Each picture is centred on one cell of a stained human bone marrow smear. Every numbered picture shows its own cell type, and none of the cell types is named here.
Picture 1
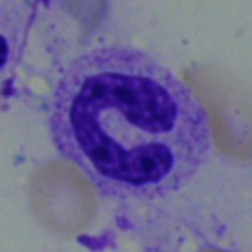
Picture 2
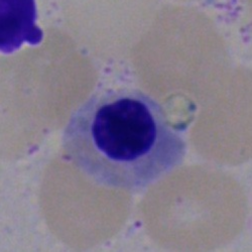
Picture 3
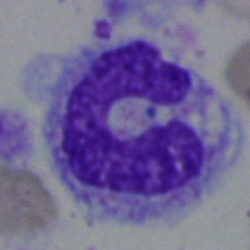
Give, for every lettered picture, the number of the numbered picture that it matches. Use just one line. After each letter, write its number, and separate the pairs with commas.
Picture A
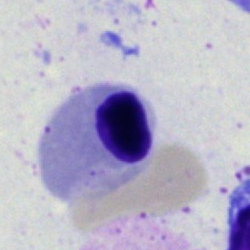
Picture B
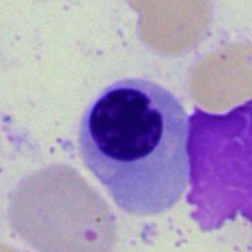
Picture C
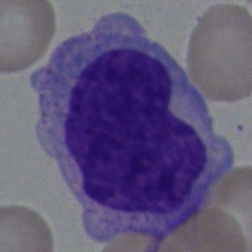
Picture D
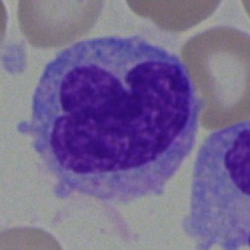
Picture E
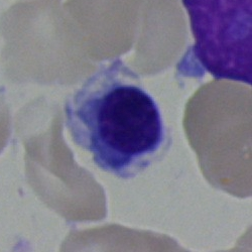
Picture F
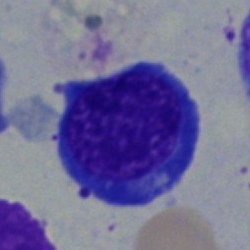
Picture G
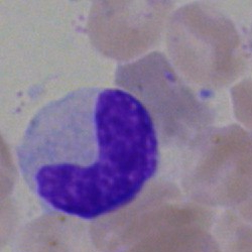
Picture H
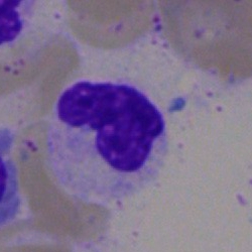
A 2, B 2, C 3, D 3, E 2, F 2, G 1, H 1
